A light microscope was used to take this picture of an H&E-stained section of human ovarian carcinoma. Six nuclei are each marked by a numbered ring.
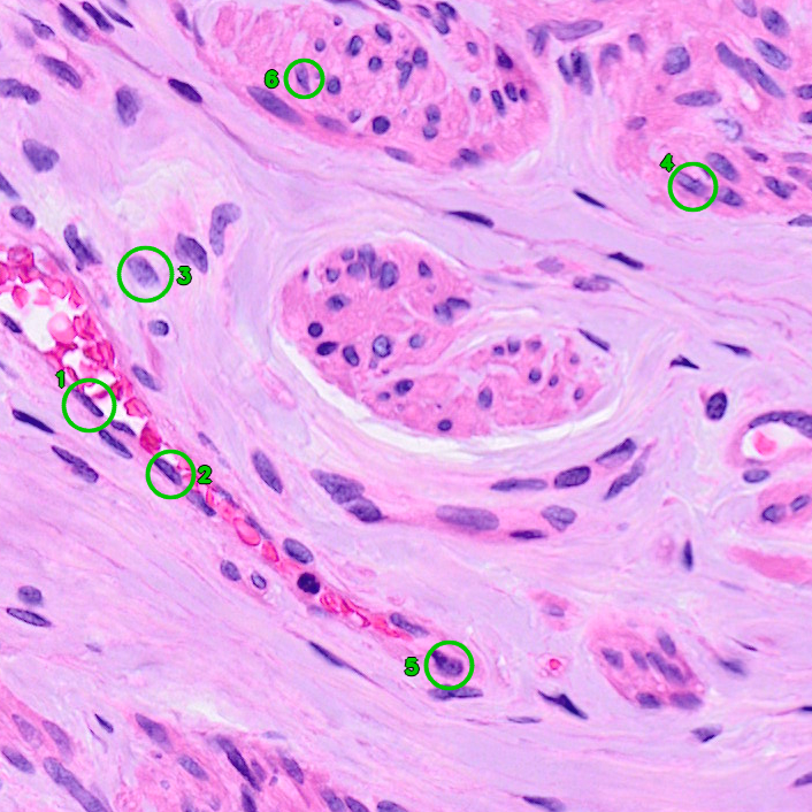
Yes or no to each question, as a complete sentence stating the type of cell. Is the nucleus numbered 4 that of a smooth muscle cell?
Yes, within this section, cell number 4 is a smooth muscle cell.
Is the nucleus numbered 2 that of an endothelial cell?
Yes, the one numbered 2 is an endothelial cell.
